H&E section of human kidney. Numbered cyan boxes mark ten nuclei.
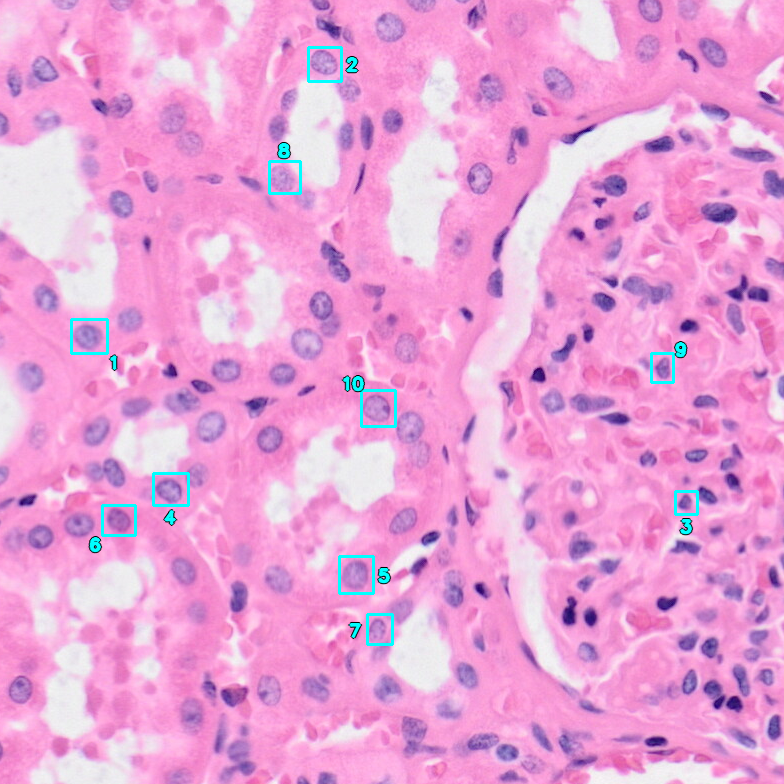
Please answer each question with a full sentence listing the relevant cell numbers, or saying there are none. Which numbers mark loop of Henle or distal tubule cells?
The cells referred to by the numbers 1, 2, 4 and 8 are loop of Henle or distal tubule cells.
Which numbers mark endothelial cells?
Cells 3 and 9 are recognised here as endothelial cells.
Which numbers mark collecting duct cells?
Cell 7 represents a collecting duct cell, and no other numbered cell does.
